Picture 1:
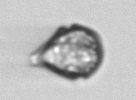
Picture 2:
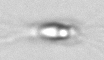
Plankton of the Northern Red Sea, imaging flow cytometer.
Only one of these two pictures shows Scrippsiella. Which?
Picture 1.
